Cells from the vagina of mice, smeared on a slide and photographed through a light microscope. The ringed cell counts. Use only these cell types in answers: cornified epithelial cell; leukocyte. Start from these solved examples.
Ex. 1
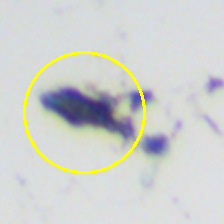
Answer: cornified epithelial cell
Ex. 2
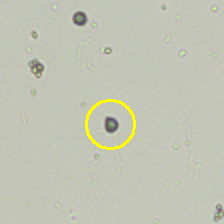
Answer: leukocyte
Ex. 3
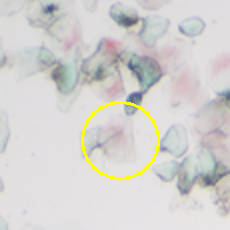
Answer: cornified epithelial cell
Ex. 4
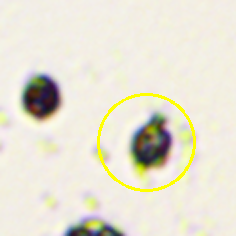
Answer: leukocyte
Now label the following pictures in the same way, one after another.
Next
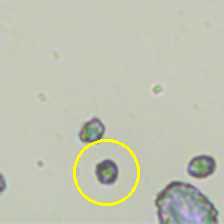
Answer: leukocyte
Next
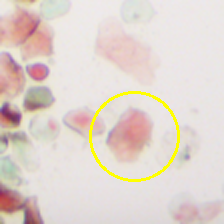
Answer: cornified epithelial cell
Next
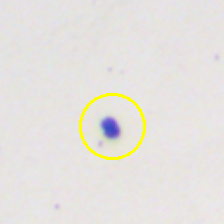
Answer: leukocyte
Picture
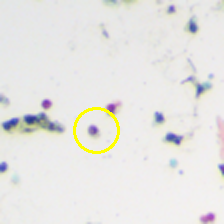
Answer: leukocyte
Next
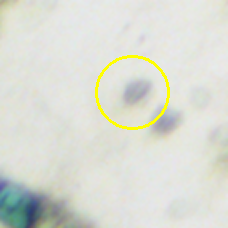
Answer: leukocyte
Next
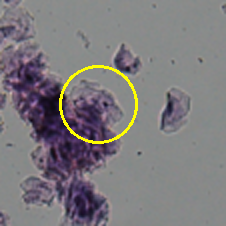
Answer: cornified epithelial cell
